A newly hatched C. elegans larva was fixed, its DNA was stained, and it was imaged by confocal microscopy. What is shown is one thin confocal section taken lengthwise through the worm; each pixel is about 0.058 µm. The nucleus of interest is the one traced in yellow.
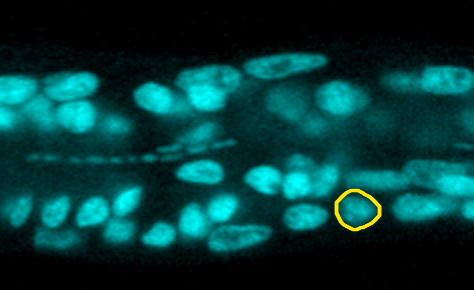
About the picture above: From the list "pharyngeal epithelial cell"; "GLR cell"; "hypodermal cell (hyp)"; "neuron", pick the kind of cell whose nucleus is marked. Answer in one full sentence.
The marked cell is a hypodermal cell (hyp).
